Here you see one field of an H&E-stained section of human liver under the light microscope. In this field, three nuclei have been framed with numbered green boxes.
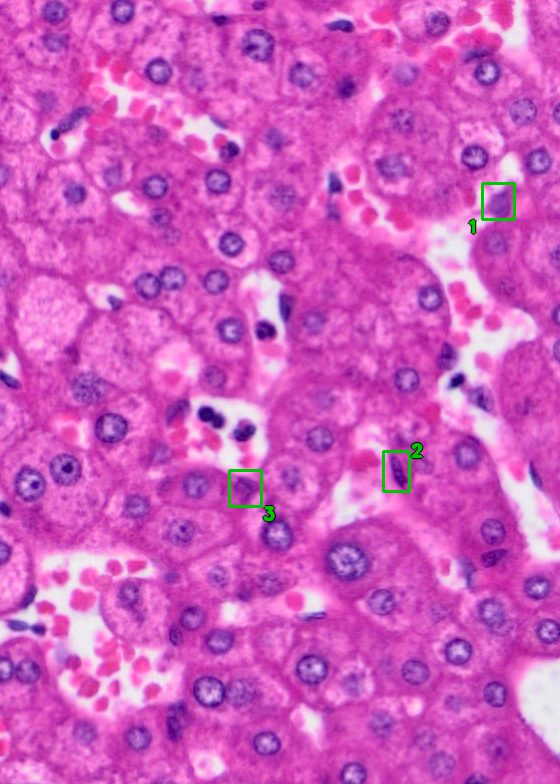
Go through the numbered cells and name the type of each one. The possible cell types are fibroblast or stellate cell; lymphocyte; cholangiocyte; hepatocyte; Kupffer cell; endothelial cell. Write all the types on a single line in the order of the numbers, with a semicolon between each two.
Kupffer cell; fibroblast or stellate cell; endothelial cell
